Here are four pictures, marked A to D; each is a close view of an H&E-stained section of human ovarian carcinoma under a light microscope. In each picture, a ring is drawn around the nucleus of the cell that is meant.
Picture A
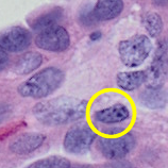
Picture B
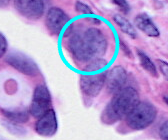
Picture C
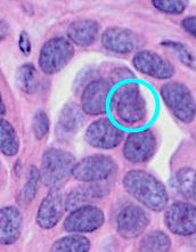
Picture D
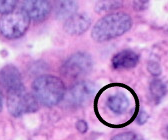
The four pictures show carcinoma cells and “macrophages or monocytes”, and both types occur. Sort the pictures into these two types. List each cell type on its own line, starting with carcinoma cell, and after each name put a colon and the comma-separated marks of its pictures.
carcinoma cell: B, C
macrophage or monocyte: A, D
